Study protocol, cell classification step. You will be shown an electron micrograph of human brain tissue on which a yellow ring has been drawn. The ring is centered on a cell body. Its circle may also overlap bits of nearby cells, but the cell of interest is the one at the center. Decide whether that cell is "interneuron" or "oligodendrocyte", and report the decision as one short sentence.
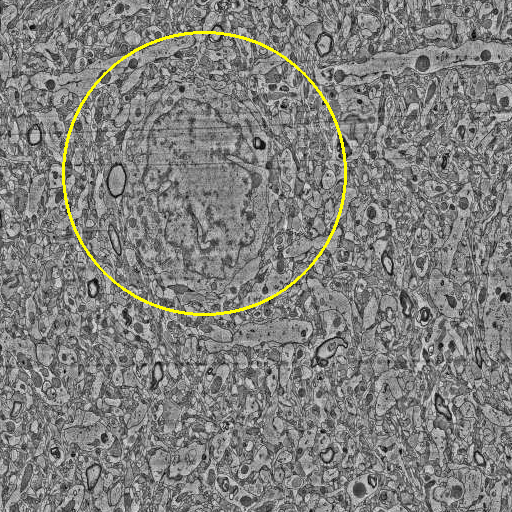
The marked cell is an interneuron.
